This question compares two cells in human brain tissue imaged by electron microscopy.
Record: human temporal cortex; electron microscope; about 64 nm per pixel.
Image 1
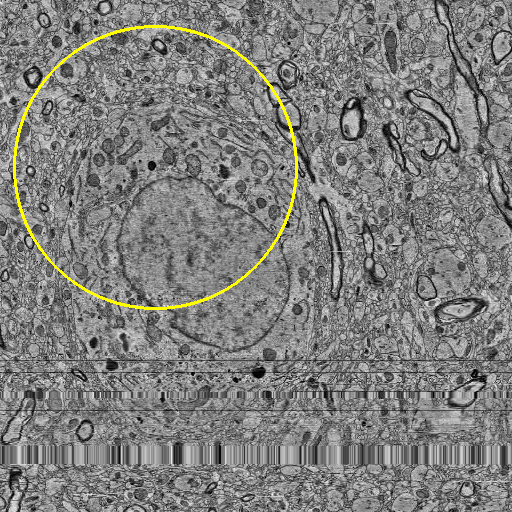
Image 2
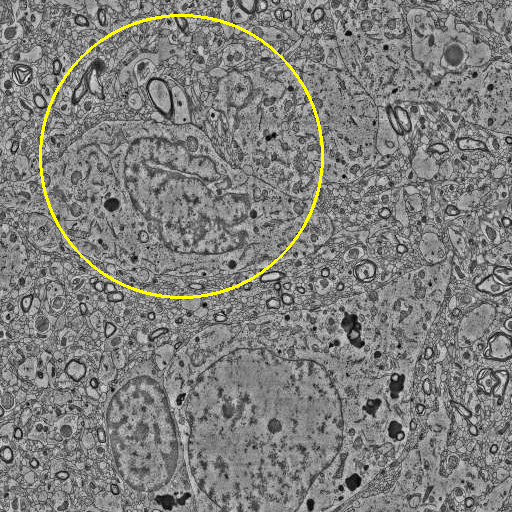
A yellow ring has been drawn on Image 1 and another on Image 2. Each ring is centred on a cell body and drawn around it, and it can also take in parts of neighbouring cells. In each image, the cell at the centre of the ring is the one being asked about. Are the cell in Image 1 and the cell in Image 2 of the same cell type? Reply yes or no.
yes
